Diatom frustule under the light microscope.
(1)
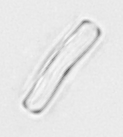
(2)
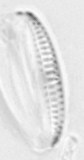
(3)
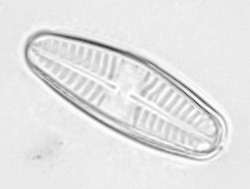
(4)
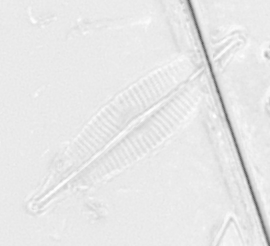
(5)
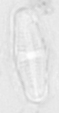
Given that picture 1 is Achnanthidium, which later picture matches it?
5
